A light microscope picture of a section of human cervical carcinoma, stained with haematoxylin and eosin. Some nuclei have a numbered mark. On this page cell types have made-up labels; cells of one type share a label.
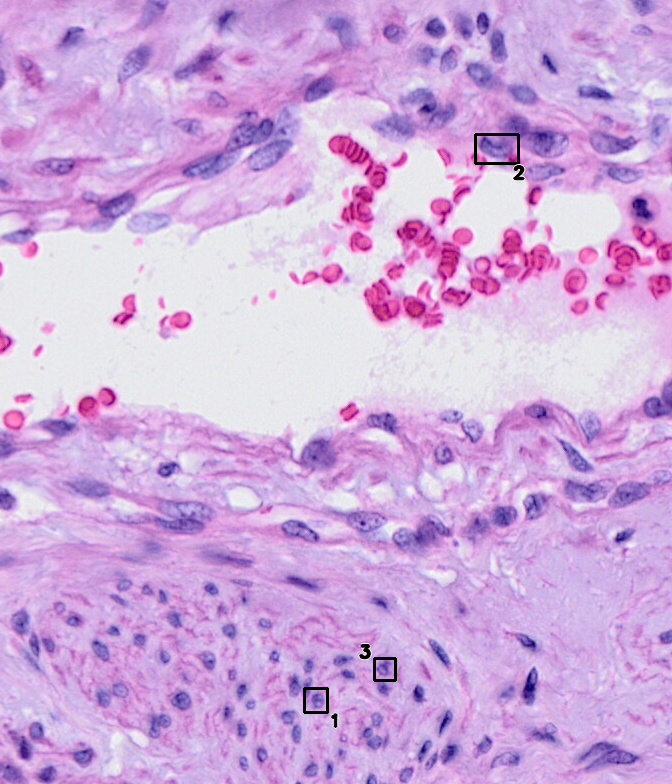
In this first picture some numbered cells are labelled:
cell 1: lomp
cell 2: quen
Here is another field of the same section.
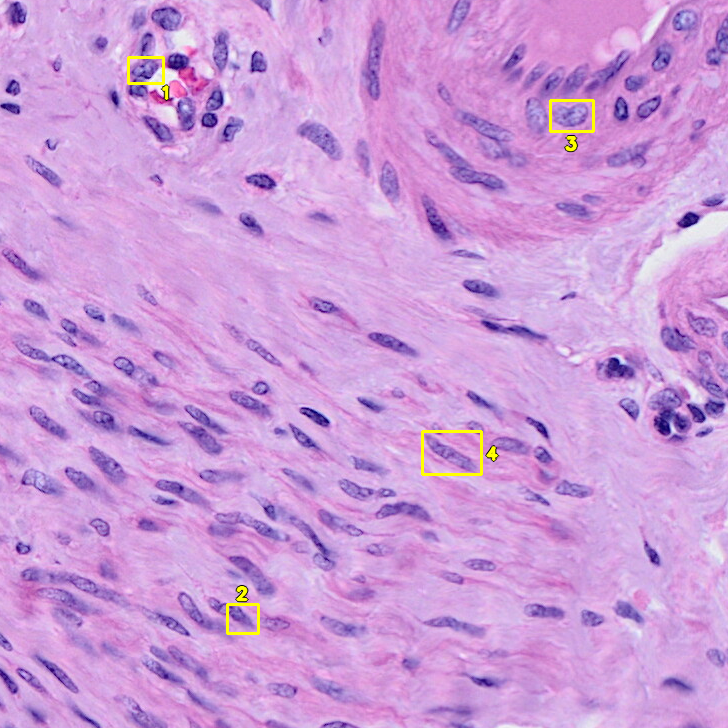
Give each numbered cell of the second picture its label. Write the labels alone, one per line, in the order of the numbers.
quen
lomp
lomp
lomp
